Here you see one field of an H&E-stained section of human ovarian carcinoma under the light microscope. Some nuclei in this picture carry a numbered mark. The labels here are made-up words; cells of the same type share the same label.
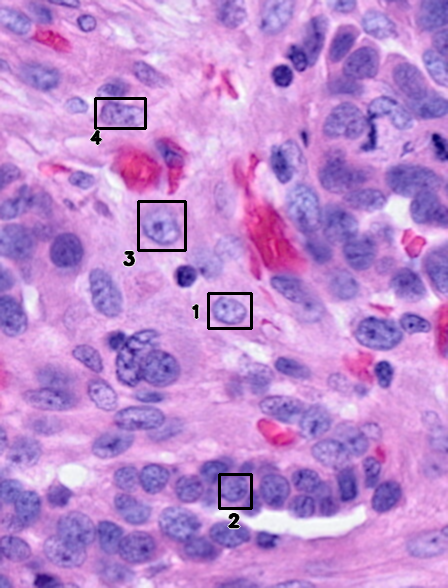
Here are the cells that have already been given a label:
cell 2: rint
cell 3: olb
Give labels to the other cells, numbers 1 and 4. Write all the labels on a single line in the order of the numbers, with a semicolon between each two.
olb; olb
